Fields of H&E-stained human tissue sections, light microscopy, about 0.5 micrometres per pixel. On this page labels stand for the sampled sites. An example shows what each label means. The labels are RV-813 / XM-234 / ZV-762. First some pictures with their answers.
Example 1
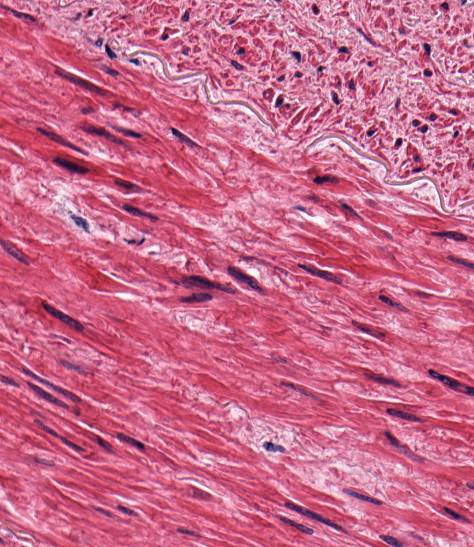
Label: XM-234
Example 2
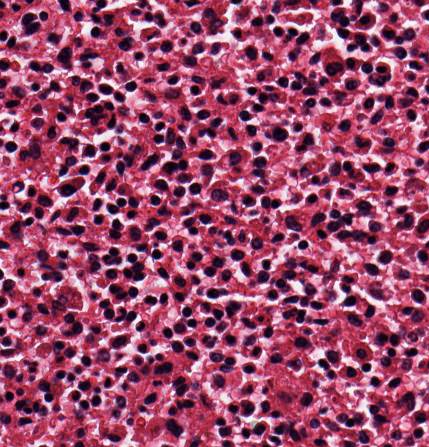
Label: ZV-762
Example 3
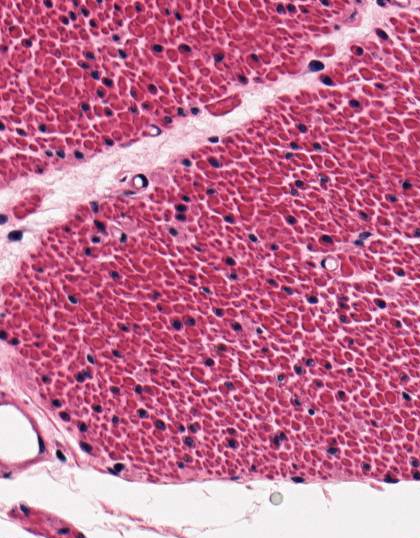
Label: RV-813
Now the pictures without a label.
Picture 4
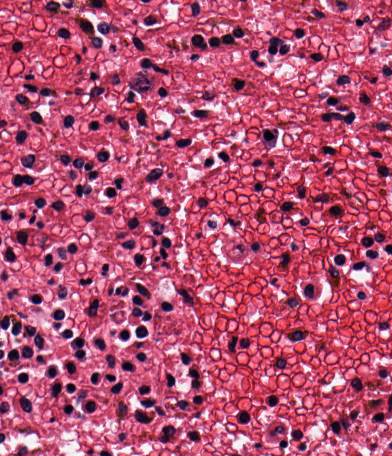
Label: ZV-762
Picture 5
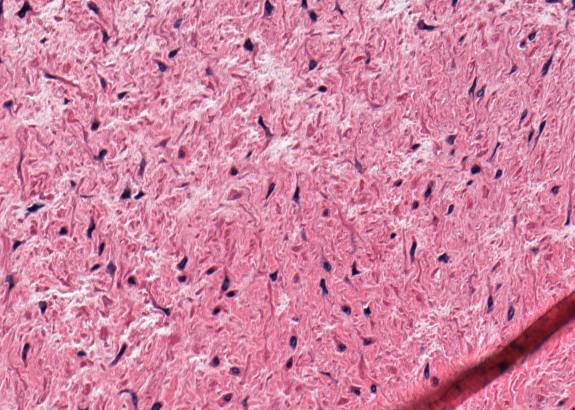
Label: XM-234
